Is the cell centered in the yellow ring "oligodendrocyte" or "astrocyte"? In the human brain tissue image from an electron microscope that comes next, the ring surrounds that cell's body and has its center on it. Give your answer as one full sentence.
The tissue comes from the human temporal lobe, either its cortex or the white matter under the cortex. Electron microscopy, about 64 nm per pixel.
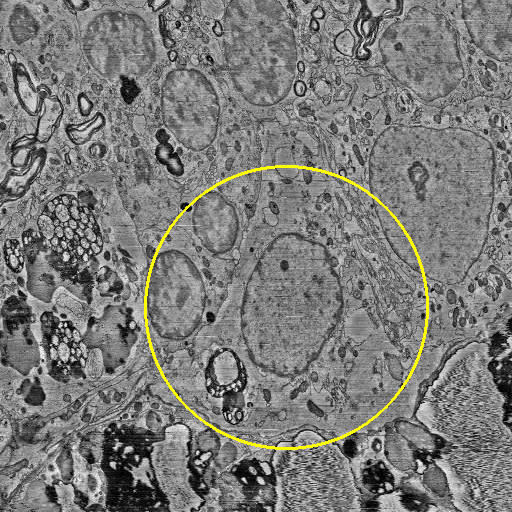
The cell at the center of the yellow ring is an astrocyte in the micrograph.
